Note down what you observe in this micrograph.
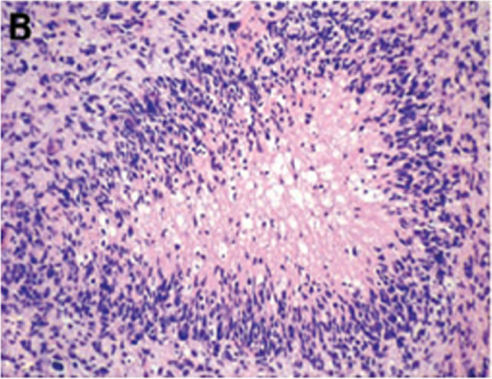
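This tumour tissue shows a pseudopalisade, with a broad rim of crowded tumour cells encircling a larger pale central zone. The tumour cells have elongated, dark purple nuclei and little visible cytoplasm. At the edge of the central zone the nuclei are packed most densely and oriented toward it. Outside the rim the cell density is lower and the nuclei are less regularly arranged.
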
